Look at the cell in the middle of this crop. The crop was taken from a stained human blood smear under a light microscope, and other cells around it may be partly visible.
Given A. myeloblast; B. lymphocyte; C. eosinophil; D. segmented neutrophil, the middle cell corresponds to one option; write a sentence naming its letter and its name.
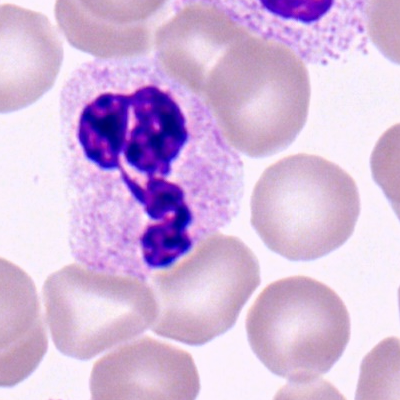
The centrally located cell is a segmented neutrophil, making option D the correct choice.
